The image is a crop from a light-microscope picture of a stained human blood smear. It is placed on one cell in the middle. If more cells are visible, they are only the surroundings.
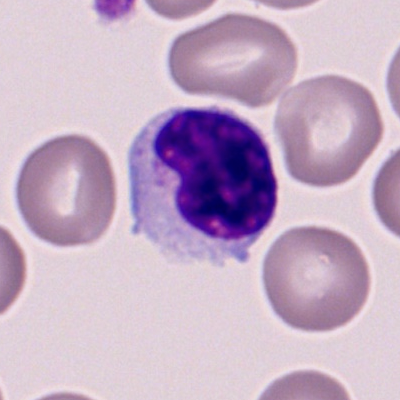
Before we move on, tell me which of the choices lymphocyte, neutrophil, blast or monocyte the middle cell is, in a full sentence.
In the crop, the cell of interest at the centre is a lymphocyte.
